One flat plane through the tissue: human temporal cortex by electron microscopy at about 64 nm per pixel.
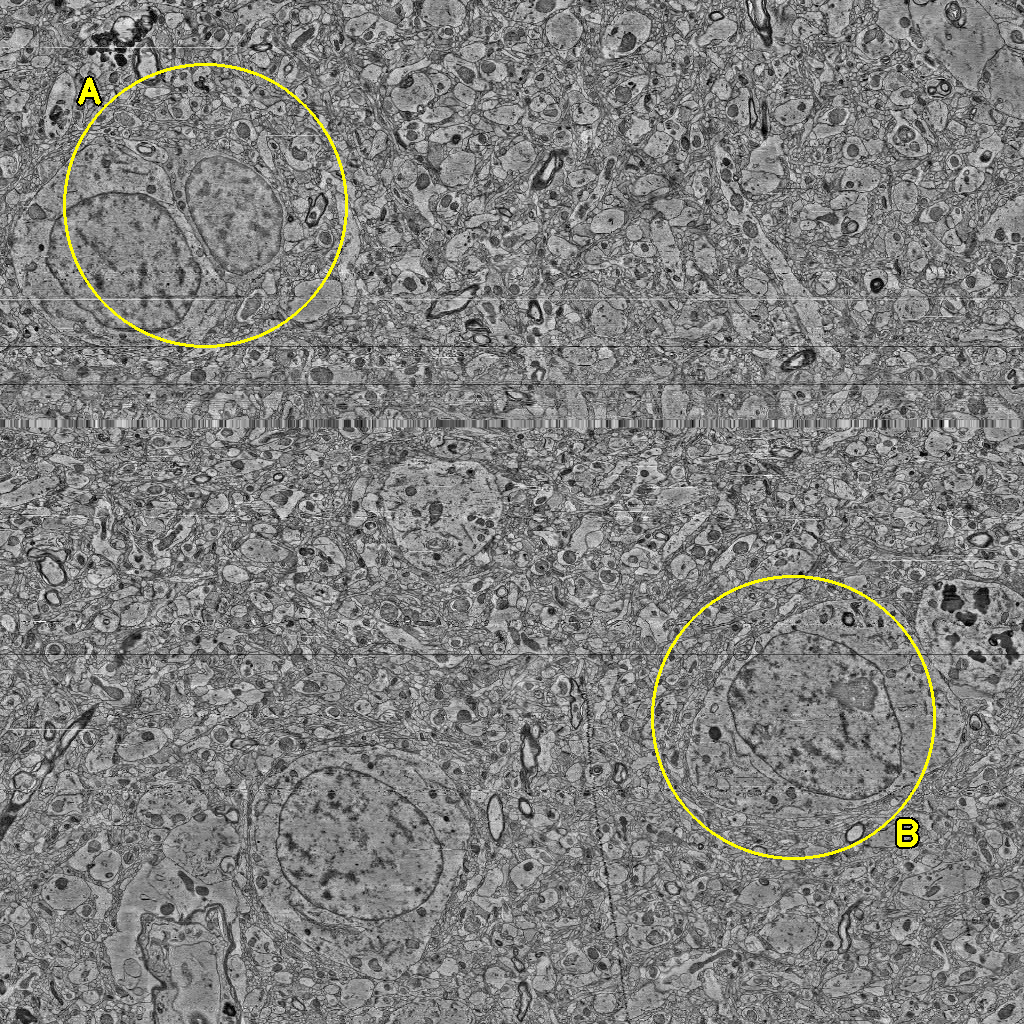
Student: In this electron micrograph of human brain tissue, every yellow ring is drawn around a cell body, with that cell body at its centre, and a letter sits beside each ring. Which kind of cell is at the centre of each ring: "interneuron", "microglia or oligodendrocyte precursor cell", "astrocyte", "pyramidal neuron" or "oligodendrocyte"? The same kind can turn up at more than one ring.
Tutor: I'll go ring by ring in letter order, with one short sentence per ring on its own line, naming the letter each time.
Ring A: the cell at its centre is an oligodendrocyte.
Ring B: the cell at its centre is a pyramidal neuron.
